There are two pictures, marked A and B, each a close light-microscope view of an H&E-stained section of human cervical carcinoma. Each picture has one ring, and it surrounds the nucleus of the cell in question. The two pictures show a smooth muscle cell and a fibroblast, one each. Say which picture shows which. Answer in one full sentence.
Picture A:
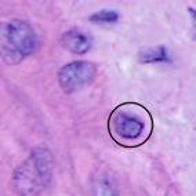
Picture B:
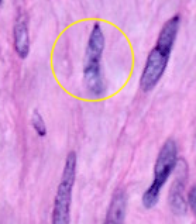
Picture B shows a fibroblast, while picture A shows a smooth muscle cell.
